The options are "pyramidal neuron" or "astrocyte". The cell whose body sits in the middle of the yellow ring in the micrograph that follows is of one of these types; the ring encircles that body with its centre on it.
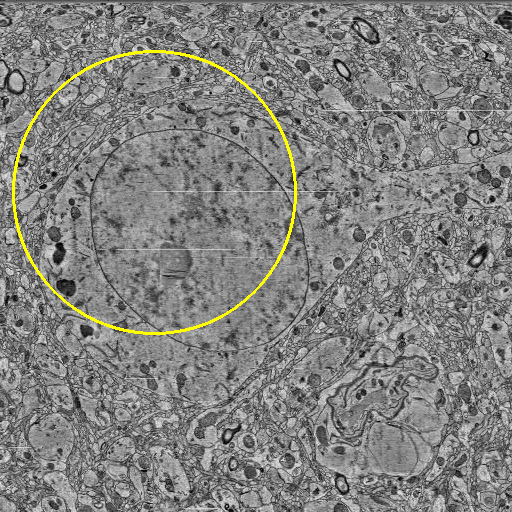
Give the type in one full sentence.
Going by the micrograph, the cell centred in the yellow ring is a pyramidal neuron.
